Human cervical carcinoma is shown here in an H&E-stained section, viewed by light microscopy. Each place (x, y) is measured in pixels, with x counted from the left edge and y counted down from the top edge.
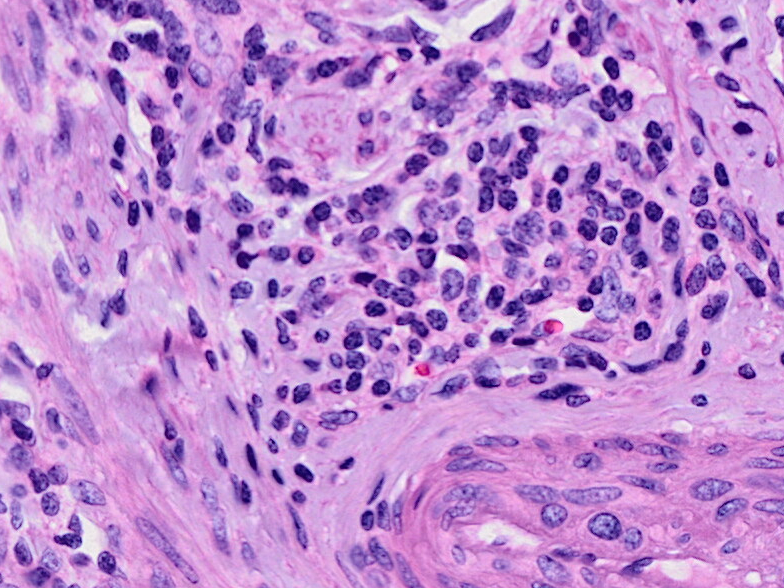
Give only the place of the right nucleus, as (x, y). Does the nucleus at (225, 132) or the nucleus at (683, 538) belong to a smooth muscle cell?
(683, 538)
